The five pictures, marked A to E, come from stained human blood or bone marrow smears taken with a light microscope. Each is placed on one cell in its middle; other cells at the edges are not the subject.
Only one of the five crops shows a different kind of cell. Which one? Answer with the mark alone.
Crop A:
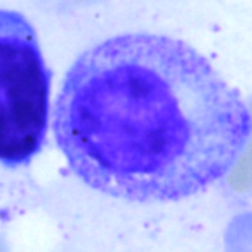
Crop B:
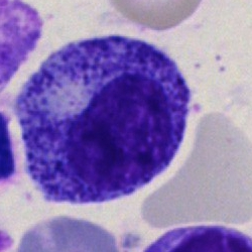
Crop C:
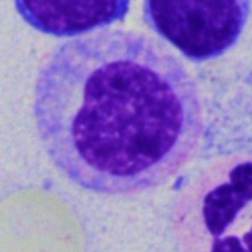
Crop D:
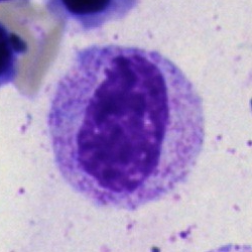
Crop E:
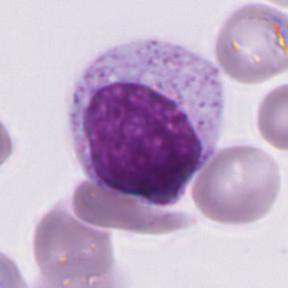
B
